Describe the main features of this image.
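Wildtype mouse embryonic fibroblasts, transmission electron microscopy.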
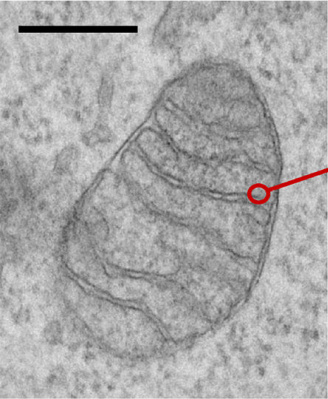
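A single oval mitochondrion sits in finely granular cytoplasm. It is enclosed by a smooth double membrane envelope. The inner membrane folds into several cristae that run across the organelle. Between the cristae lies a moderately dense matrix.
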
